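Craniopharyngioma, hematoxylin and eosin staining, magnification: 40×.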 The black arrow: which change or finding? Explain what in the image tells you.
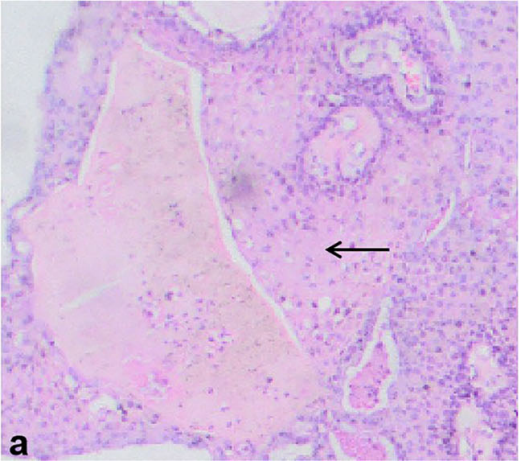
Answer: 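The arrow points to eosinophilic material merging with the epithelial sheet. The answer: partial keratinization.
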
